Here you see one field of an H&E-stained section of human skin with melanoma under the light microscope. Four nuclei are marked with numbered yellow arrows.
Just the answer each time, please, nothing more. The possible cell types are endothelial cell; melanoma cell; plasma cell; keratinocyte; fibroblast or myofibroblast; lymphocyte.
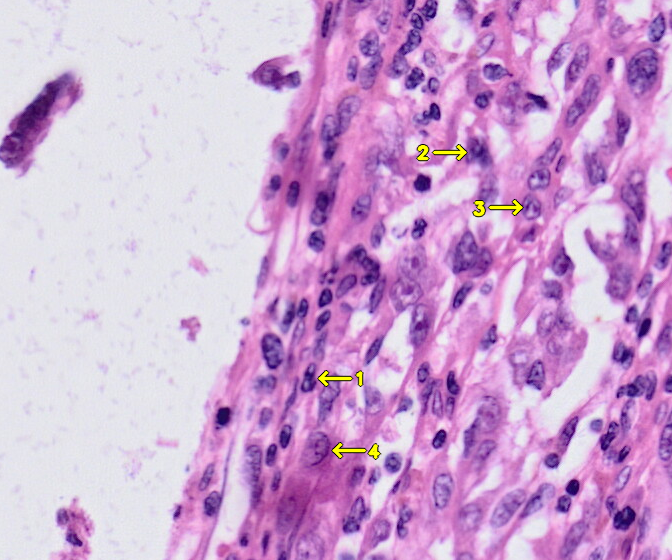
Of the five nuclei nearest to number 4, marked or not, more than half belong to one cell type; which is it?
lymphocyte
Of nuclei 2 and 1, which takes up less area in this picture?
1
